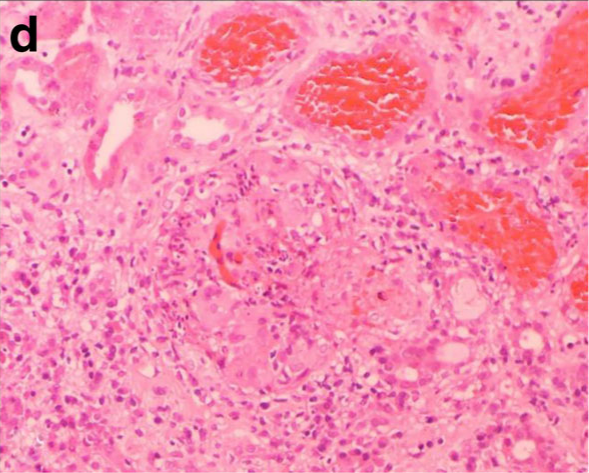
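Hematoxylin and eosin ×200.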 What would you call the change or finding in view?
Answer: Cellular crescents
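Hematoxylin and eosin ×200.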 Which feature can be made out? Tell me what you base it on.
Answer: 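Several round tubular profiles are packed with red-orange erythrocytes. These lie in the upper right of the field.
Hence: red blood cell casts.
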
